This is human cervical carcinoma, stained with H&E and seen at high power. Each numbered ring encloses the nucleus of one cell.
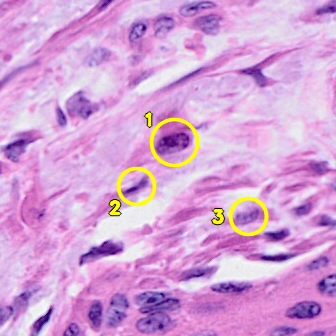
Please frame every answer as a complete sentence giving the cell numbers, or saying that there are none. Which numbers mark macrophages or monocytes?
The sole numbered cell that is a macrophage or monocyte is cell 1.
